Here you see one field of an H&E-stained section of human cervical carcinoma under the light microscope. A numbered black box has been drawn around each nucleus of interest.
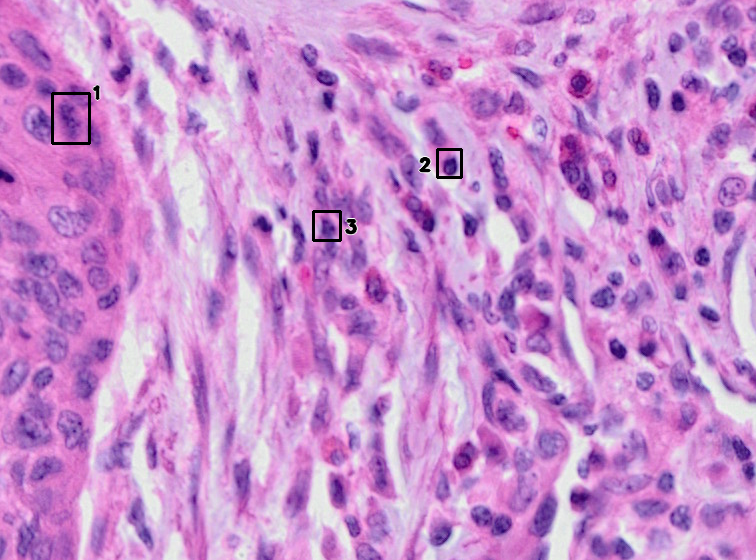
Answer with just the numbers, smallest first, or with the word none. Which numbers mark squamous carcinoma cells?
1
